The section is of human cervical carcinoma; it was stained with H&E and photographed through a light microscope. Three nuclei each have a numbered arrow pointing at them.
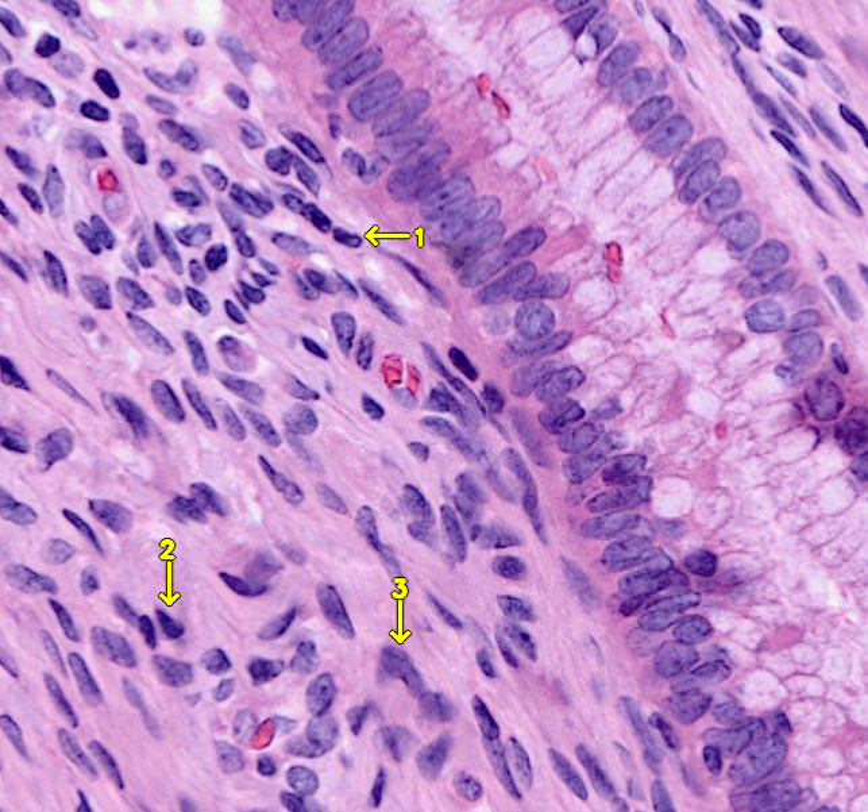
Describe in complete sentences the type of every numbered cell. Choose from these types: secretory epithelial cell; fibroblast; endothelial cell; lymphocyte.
Cell 1 is a lymphocyte, cell 2 is a fibroblast and cell 3 is a fibroblast.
